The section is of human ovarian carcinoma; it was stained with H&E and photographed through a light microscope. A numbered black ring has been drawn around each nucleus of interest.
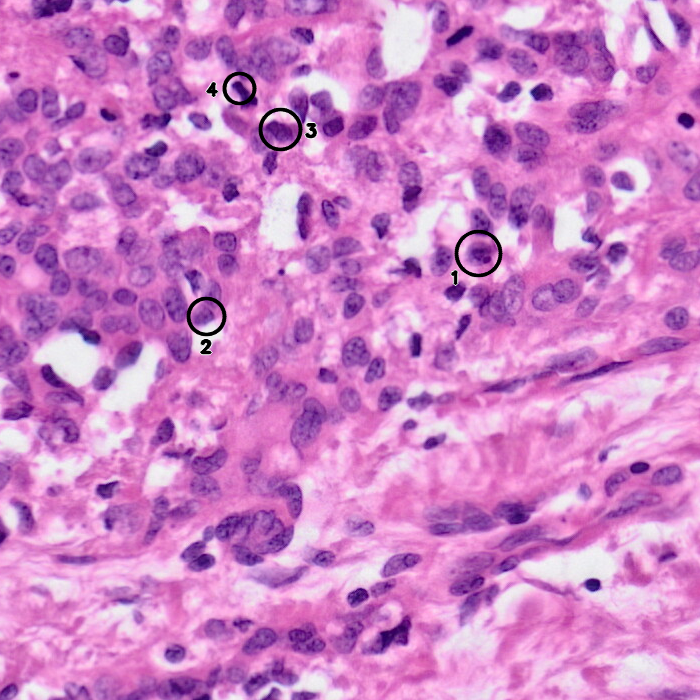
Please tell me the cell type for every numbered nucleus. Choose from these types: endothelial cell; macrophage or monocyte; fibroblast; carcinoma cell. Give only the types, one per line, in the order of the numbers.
macrophage or monocyte
carcinoma cell
carcinoma cell
carcinoma cell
